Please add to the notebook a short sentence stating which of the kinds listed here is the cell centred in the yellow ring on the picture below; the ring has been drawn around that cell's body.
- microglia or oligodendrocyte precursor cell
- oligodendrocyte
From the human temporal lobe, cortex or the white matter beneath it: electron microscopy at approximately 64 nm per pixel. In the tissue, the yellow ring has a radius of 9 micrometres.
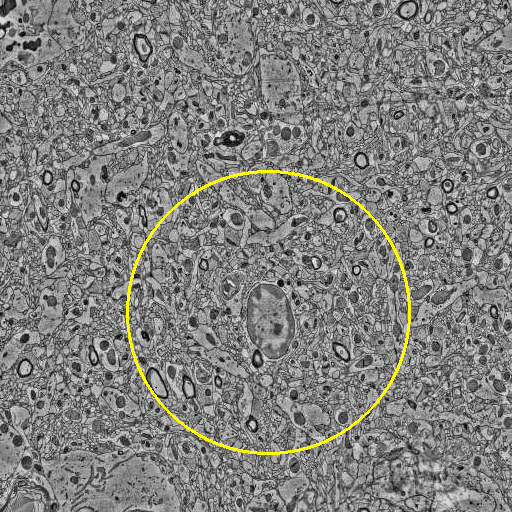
The cell centred in the yellow ring is a microglial cell or oligodendrocyte precursor cell.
